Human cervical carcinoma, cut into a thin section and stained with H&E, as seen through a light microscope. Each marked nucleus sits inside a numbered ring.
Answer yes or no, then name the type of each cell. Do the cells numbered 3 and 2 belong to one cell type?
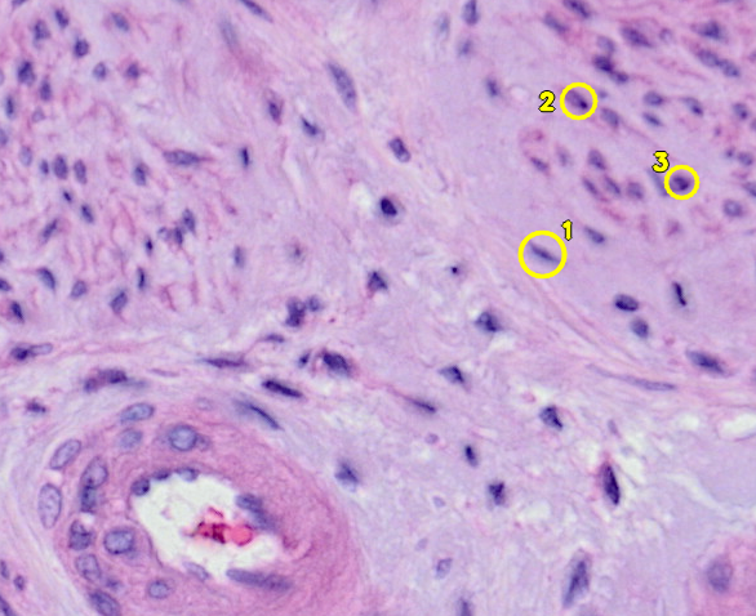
Yes, that is right: cells 3 and 2 are both smooth muscle cells.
